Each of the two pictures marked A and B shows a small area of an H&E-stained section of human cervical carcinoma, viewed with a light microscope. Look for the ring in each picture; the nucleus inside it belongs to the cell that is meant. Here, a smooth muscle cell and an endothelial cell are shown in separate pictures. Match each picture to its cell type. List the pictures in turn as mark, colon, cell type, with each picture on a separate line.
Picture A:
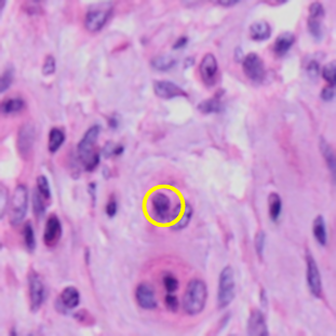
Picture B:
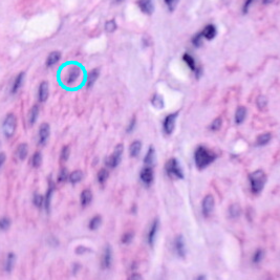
A: endothelial cell
B: smooth muscle cell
